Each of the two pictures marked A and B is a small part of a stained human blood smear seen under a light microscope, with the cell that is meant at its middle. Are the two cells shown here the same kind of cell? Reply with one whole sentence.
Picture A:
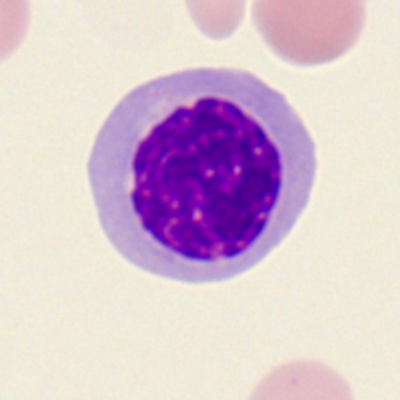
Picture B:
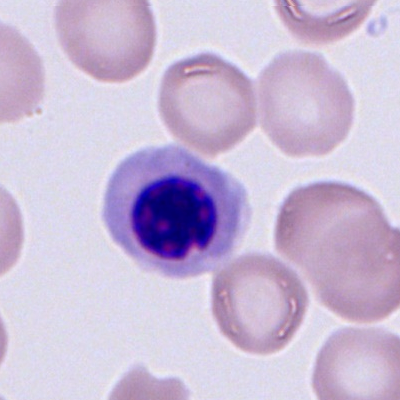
Yes, they are the same type: both are erythroblasts.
